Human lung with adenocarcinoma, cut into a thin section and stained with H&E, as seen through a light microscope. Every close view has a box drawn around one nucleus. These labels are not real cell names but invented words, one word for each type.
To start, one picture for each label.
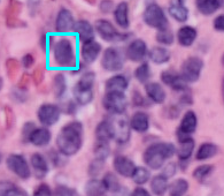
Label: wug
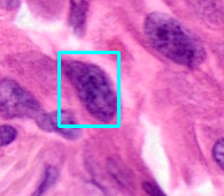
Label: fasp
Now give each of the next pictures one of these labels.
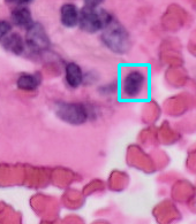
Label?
wug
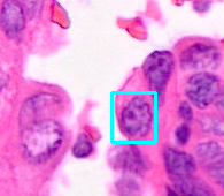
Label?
fasp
